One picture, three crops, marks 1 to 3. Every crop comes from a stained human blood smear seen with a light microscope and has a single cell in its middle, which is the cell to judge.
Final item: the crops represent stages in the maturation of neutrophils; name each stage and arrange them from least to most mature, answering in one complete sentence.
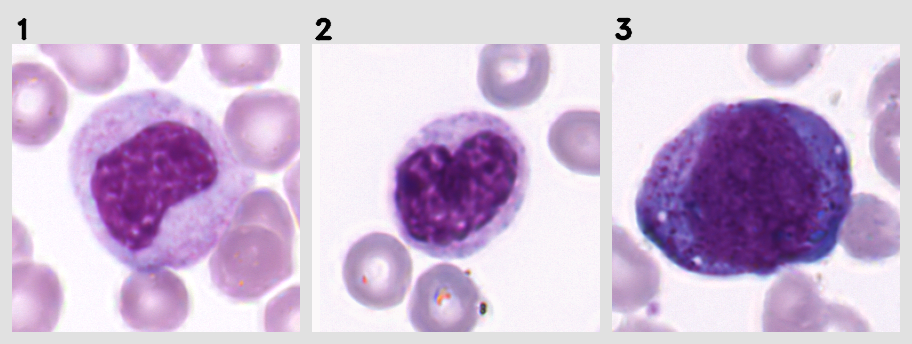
The correct order from least to most mature is crop 3 (a promyelocyte), crop 1 (a metamyelocyte) and crop 2 (a band neutrophil).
